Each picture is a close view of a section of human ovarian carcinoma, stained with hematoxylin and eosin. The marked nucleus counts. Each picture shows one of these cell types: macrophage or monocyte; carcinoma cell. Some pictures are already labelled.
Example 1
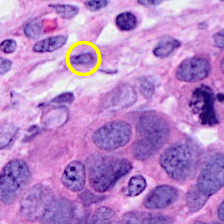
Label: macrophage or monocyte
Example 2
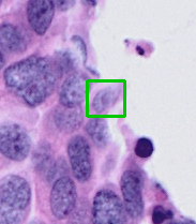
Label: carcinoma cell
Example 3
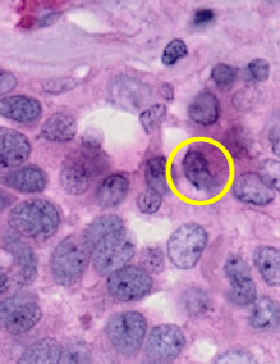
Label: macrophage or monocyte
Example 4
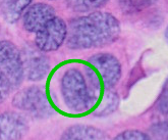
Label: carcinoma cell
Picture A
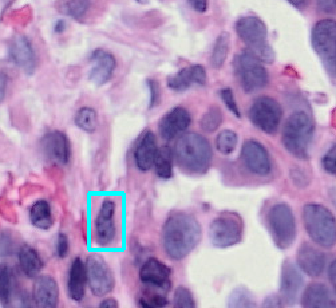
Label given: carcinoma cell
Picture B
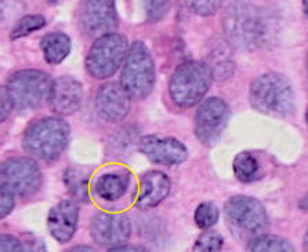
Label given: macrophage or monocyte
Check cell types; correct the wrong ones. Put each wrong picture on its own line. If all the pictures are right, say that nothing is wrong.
A: not carcinoma cell but macrophage or monocyte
